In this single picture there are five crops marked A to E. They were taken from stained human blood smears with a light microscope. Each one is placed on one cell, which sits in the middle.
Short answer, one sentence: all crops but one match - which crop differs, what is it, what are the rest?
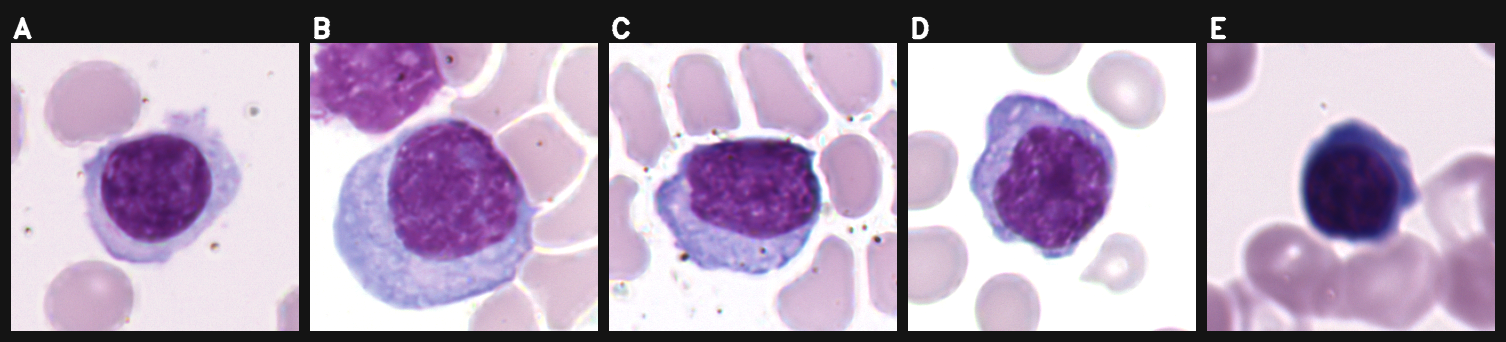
Crop E is the one that is an erythroblast, and the other crops all show plasma cells.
